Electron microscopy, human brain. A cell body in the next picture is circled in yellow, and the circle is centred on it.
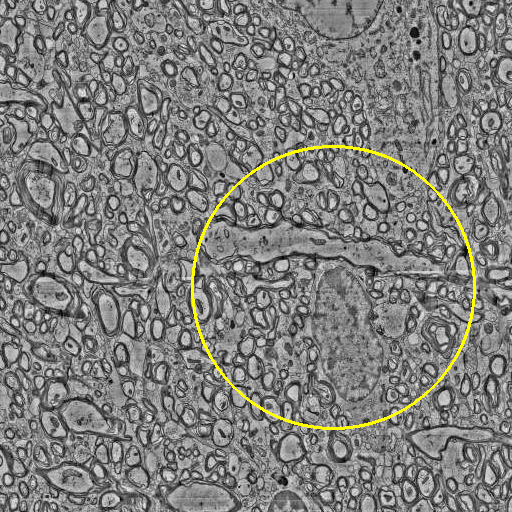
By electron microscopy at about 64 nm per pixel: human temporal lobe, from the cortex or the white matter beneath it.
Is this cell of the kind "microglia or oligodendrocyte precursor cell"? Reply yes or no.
no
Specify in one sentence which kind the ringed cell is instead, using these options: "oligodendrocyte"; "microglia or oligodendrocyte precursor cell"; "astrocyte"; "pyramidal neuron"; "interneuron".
The ring's central cell is an oligodendrocyte instead.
